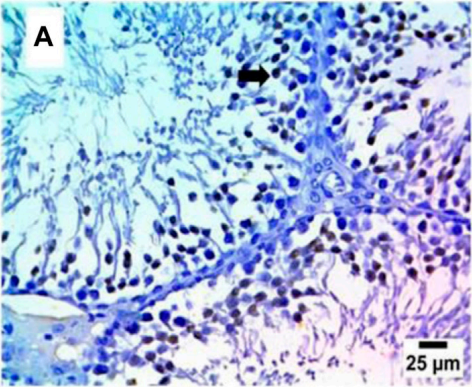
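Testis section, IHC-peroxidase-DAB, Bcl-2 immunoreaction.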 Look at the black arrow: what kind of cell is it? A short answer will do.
Spermatogenic cells.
